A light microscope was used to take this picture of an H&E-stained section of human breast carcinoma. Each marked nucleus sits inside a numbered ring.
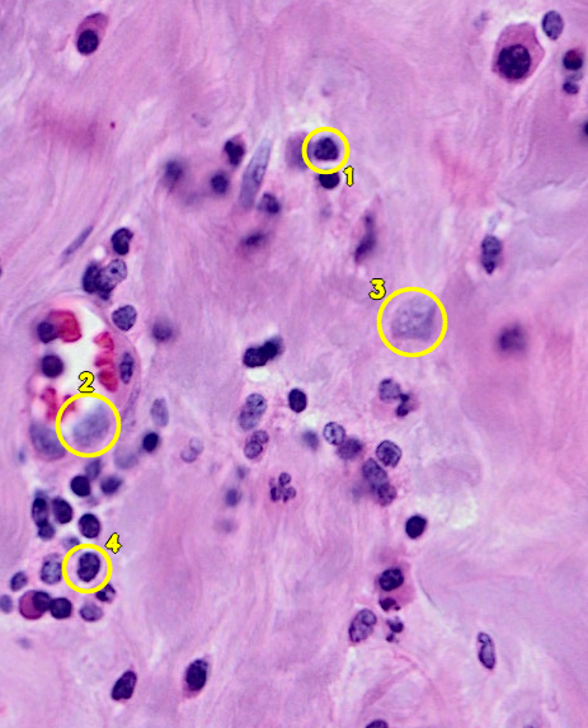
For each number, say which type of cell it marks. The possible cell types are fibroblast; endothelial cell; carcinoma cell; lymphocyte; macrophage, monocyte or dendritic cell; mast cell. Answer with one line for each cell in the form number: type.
1: lymphocyte
2: endothelial cell
3: fibroblast
4: lymphocyte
